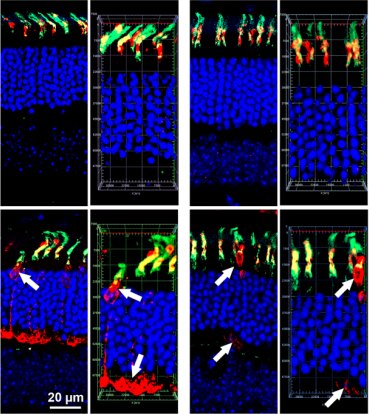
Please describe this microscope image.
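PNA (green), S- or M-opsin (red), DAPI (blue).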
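Photoreceptor layers of the retina, with elongated green and yellow cone segments along the top above a thick band of densely packed blue nuclei and a thin plexiform band beneath. In the upper row the red signal stays within the segments, whereas in the lower row white arrows mark red deposits lying among the nuclei and clumped at the base of the nuclear layer.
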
